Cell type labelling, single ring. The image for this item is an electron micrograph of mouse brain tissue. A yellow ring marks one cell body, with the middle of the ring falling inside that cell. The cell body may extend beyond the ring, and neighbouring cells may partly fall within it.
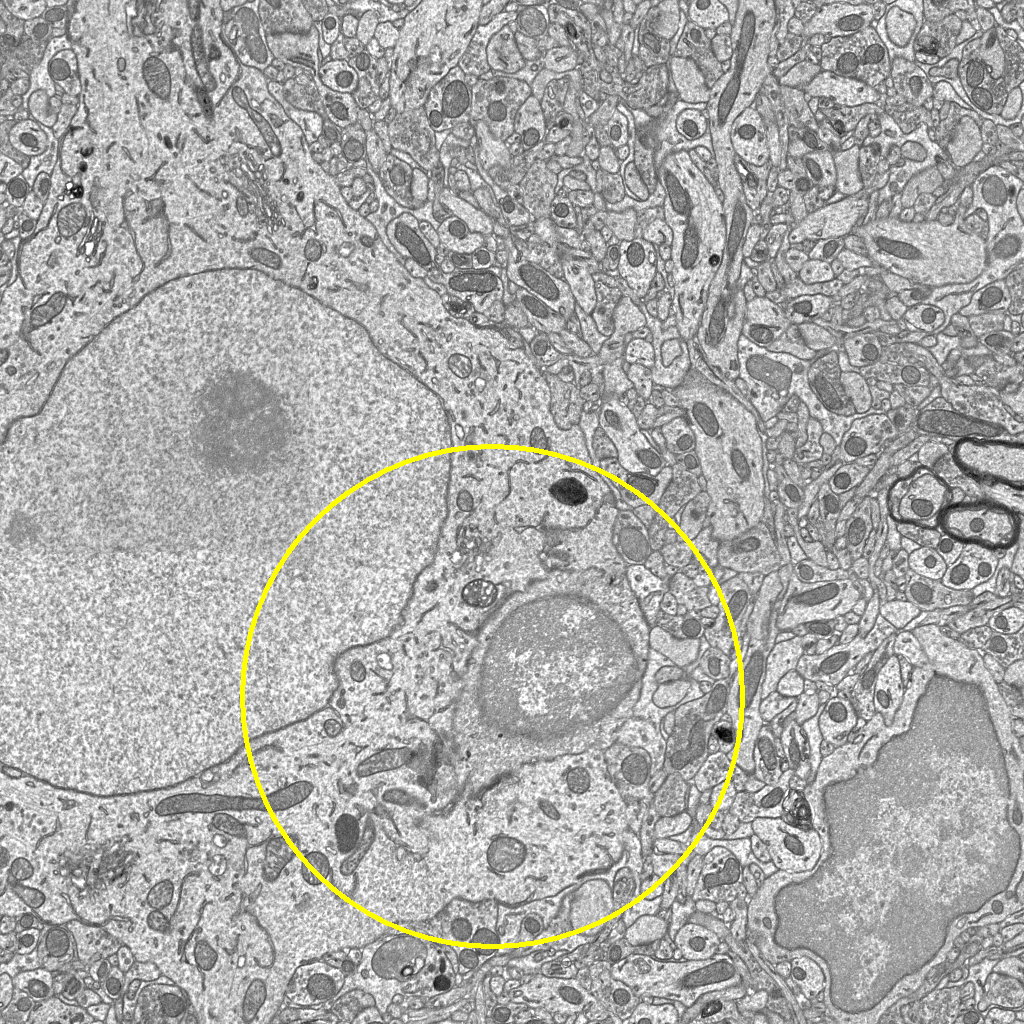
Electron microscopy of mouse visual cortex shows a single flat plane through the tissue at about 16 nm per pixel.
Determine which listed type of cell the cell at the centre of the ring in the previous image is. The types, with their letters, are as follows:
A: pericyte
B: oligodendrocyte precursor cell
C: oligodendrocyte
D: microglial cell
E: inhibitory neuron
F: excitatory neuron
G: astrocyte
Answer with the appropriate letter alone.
C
